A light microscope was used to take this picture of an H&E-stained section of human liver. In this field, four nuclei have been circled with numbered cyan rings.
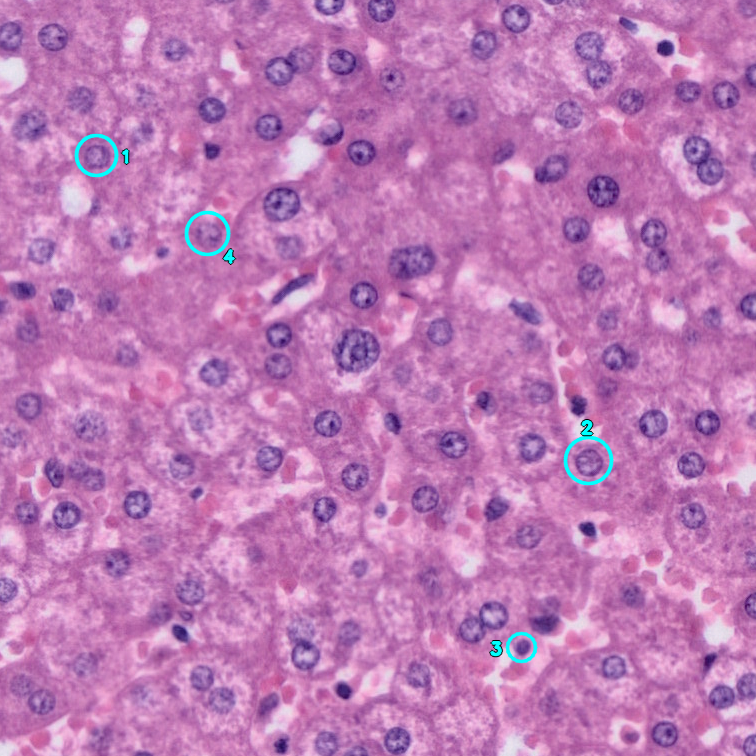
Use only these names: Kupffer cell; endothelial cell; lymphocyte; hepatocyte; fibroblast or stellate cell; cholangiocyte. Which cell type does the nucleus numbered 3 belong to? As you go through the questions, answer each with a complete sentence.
The cell identified by the number 3 is a lymphocyte.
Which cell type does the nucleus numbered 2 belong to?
Here the cell numbered 2 is a hepatocyte.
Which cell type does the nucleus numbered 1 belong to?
The cell pointed out as number 1 is a hepatocyte.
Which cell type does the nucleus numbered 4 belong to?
Regarding cell 4, this one is a hepatocyte.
